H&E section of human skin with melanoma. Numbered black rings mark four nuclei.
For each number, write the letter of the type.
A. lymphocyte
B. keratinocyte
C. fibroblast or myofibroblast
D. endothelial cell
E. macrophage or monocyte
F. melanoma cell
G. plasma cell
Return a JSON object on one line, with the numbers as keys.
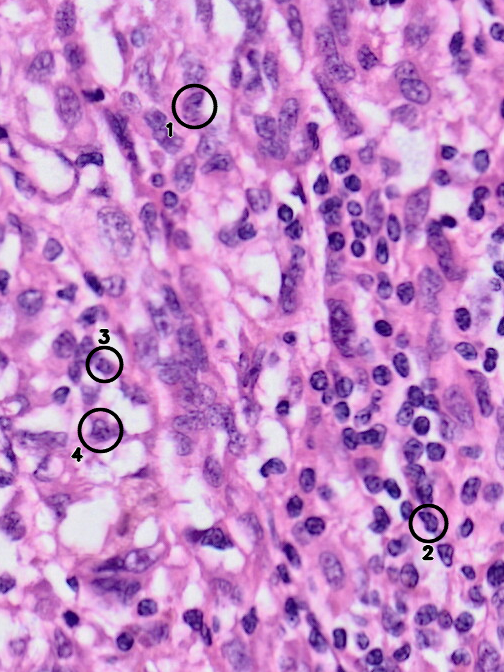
{"1": "F", "2": "A", "3": "F", "4": "F"}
